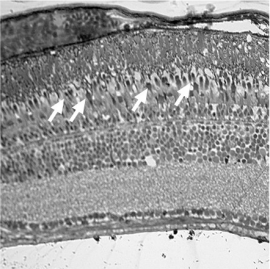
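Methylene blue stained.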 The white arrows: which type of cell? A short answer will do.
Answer: Cones.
